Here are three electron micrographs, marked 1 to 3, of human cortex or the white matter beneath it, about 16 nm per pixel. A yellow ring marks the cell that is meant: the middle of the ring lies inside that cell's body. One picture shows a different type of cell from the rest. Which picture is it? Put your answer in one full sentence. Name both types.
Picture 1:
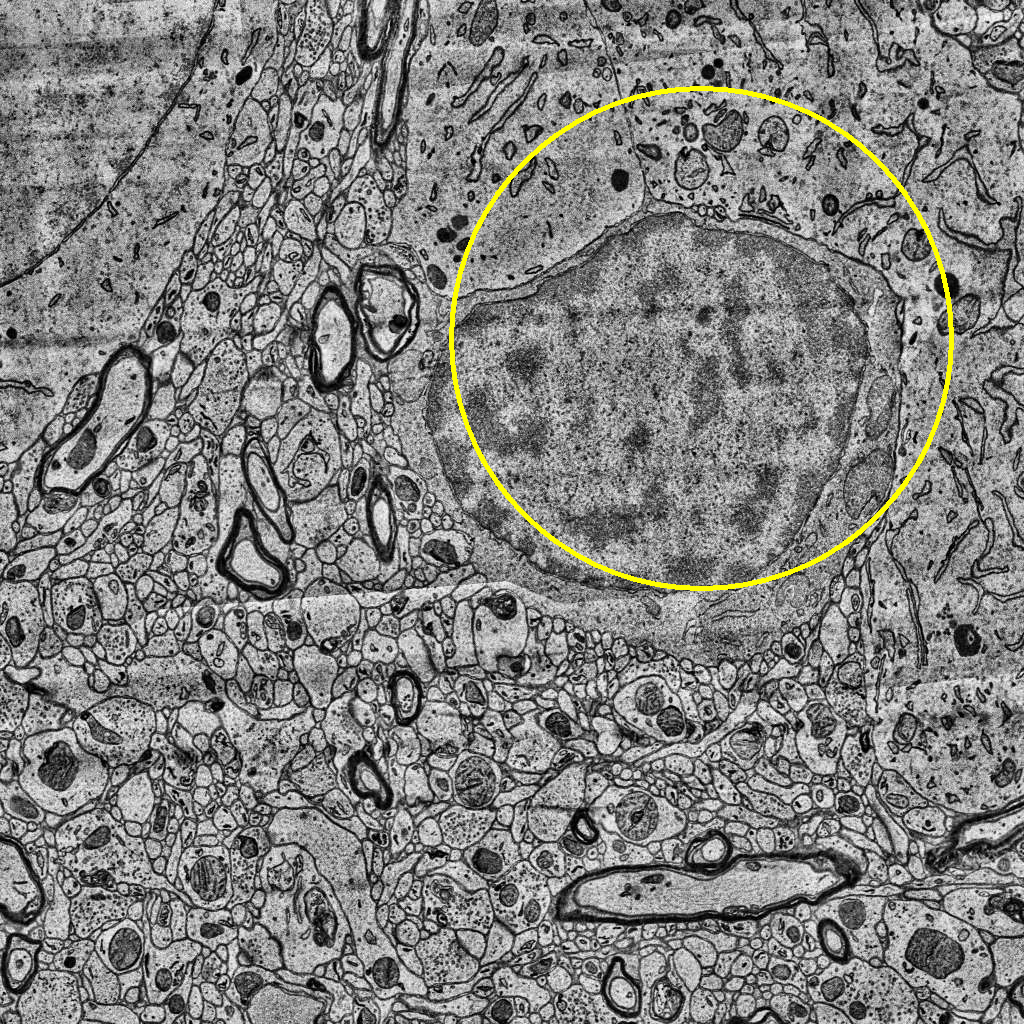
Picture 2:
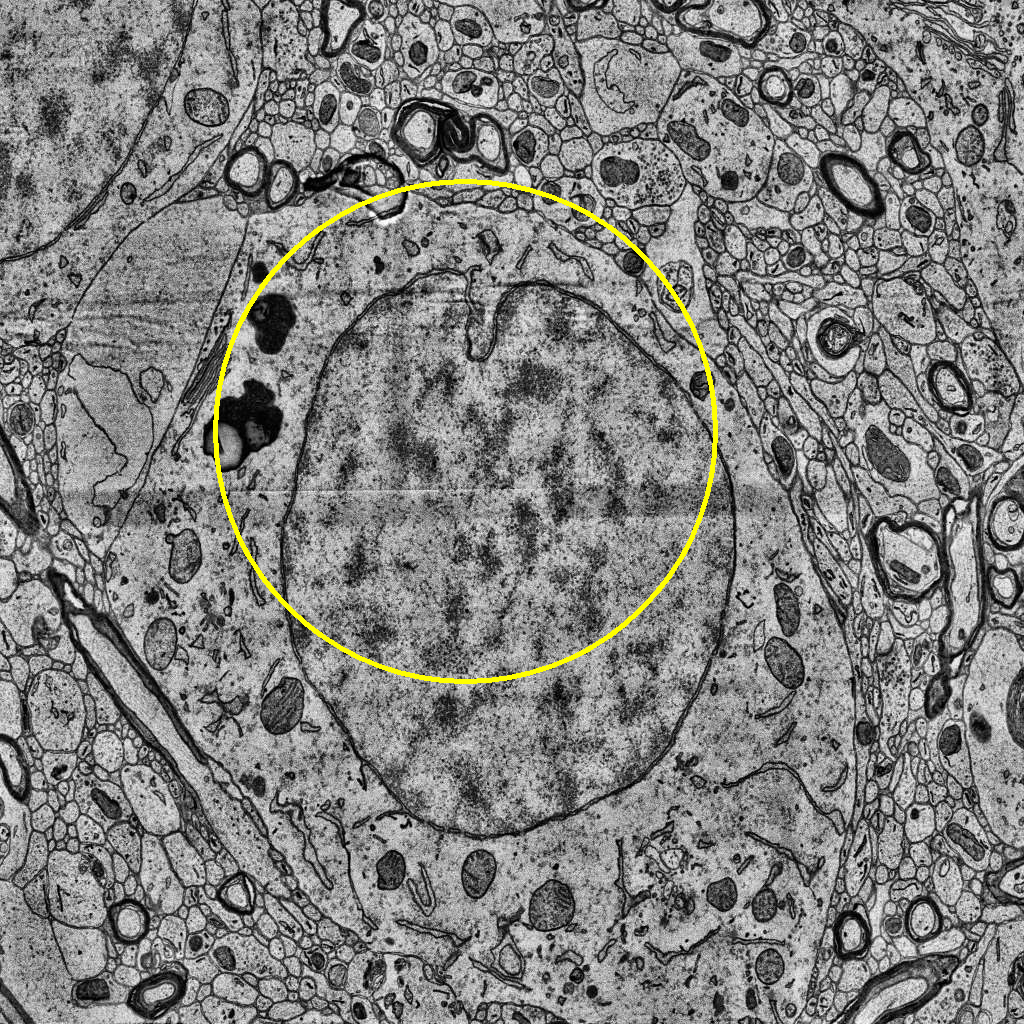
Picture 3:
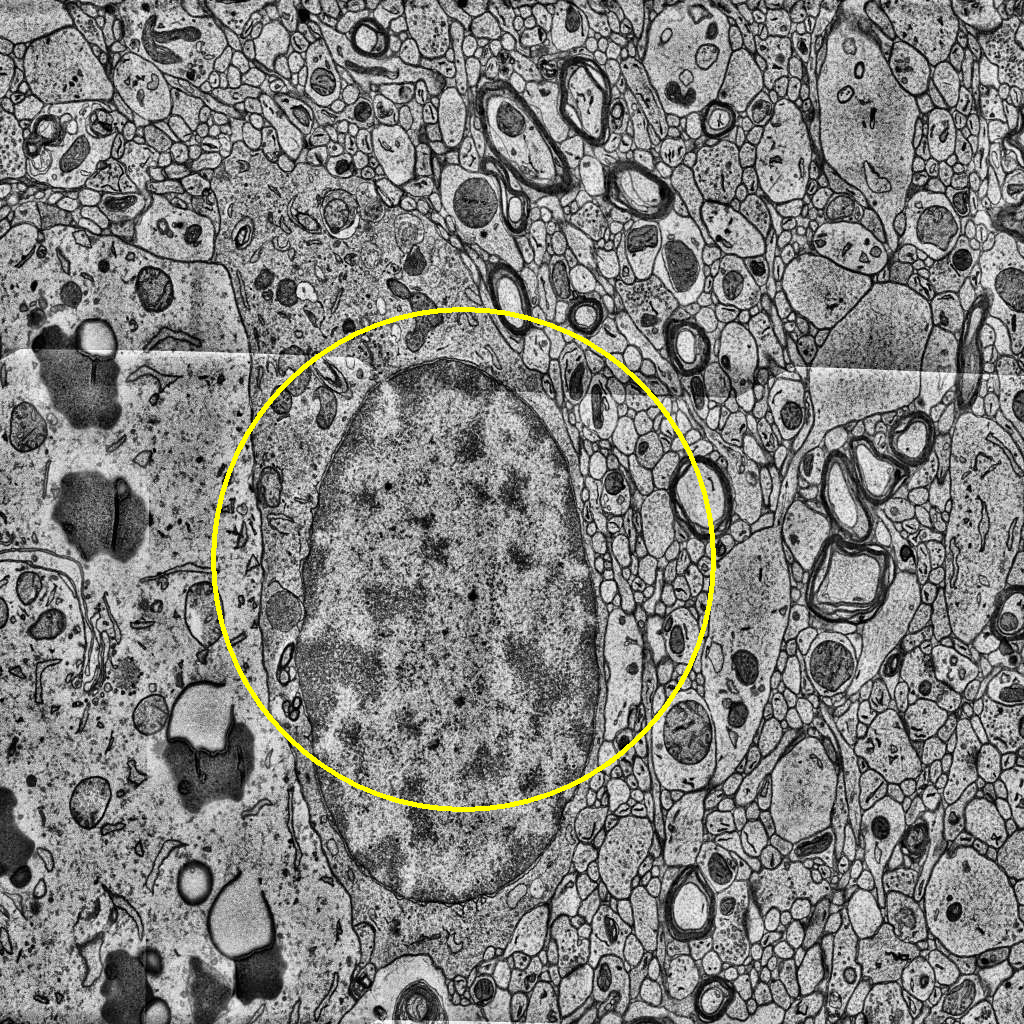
Unlike the rest, which show oligodendrocytes, picture 2 shows a pyramidal neuron.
